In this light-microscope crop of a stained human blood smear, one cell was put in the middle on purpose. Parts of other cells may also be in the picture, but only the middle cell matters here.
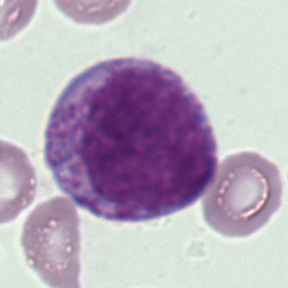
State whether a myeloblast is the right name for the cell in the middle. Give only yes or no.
no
